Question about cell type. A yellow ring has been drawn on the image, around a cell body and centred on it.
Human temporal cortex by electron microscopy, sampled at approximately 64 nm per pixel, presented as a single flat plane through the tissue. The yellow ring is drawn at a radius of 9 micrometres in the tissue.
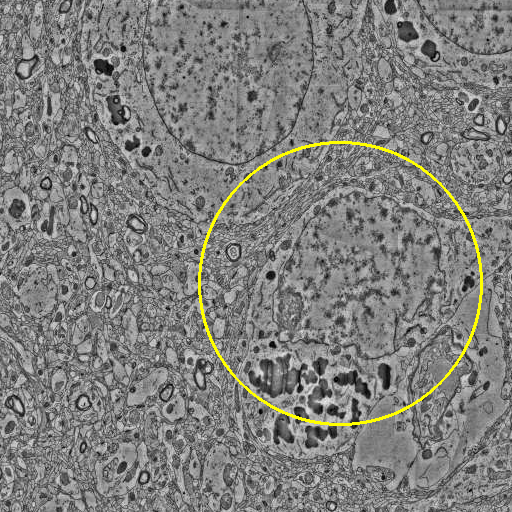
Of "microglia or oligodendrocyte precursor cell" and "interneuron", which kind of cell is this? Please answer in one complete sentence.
At the centre of the ring lies an interneuron.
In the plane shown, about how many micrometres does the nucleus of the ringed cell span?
Roughly 11 micrometers across in this plane.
